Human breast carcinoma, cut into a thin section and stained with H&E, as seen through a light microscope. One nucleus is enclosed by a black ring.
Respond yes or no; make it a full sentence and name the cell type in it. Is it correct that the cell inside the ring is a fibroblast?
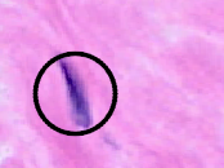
Yes, that the cell inside the ring is a fibroblast is correct.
